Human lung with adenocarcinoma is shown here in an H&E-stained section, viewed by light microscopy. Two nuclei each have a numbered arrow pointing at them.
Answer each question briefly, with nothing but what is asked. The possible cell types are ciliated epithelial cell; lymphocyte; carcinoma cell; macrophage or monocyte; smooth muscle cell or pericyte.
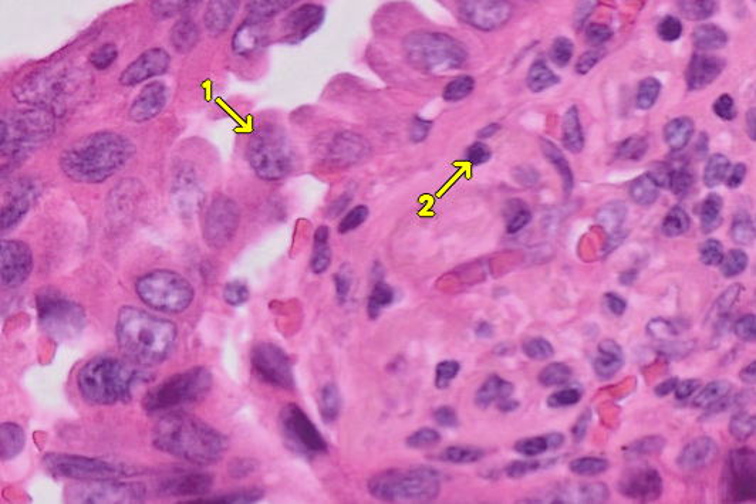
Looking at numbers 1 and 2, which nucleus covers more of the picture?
1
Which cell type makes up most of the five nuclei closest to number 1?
carcinoma cell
